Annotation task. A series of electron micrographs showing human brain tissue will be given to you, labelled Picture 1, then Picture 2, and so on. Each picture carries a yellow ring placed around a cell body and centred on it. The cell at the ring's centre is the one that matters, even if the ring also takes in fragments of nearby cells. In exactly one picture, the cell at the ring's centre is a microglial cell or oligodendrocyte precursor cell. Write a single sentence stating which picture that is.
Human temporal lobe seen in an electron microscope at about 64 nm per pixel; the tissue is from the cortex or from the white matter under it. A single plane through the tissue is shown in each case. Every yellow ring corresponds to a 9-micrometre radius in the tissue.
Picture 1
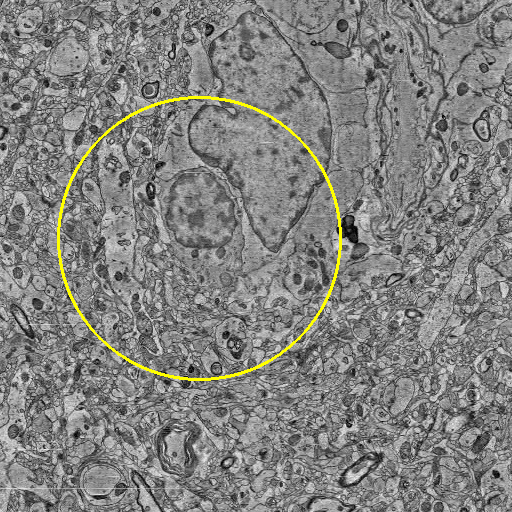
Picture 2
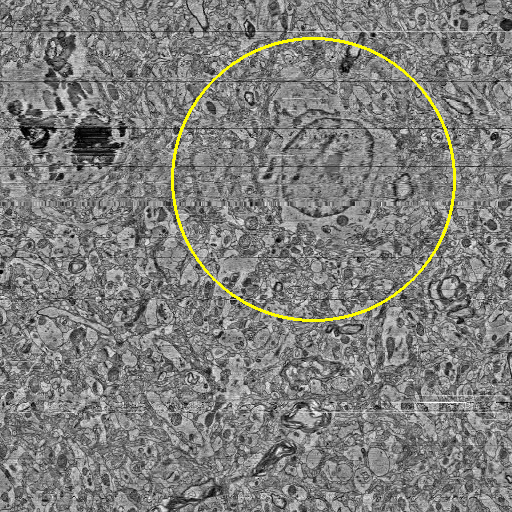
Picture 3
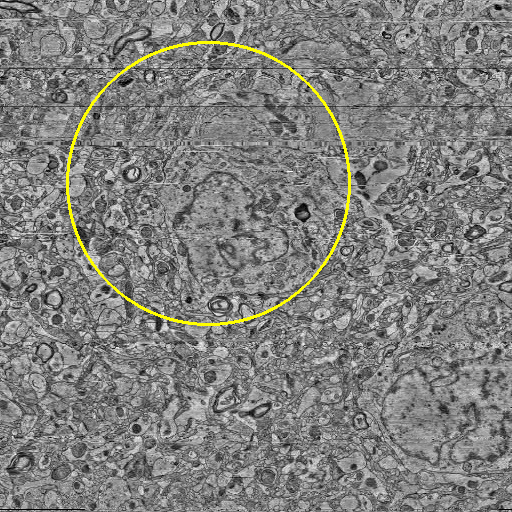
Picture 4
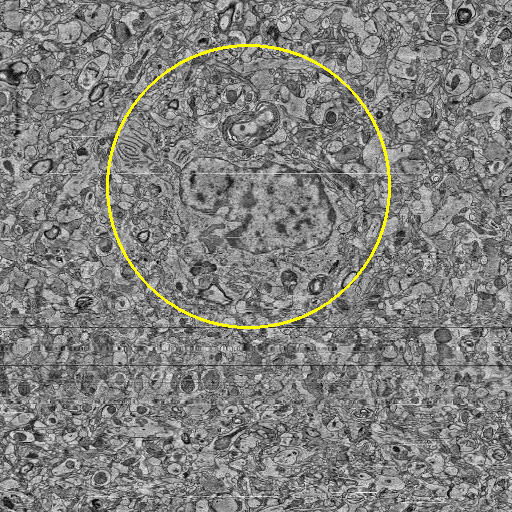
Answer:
Picture 4 holds the requested cell at the very centre of its ring.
